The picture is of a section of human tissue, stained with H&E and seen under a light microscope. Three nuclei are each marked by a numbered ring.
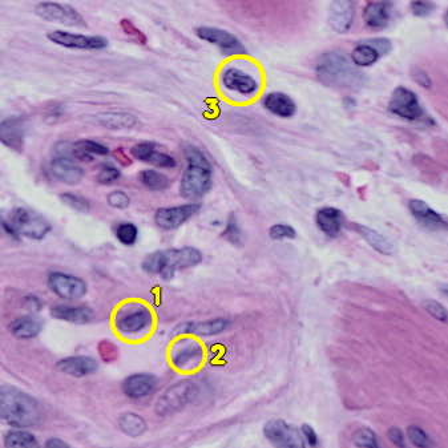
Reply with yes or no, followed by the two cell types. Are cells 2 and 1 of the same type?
Yes, both are endothelial cells.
